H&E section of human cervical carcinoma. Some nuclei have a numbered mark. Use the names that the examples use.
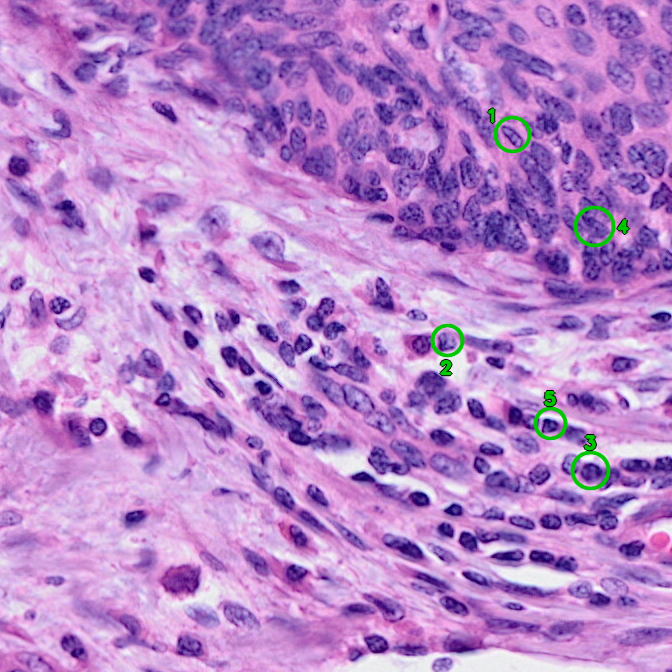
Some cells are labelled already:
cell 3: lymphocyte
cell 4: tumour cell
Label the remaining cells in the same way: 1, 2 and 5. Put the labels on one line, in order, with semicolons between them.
tumour cell; lymphocyte; lymphocyte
